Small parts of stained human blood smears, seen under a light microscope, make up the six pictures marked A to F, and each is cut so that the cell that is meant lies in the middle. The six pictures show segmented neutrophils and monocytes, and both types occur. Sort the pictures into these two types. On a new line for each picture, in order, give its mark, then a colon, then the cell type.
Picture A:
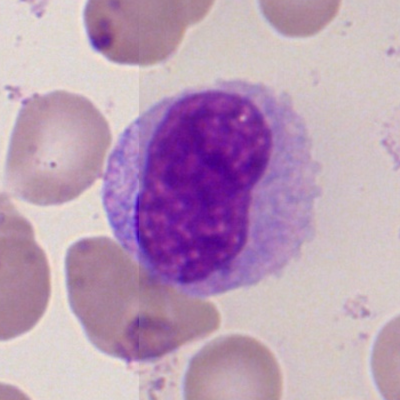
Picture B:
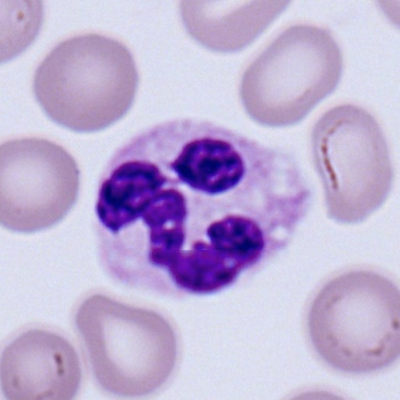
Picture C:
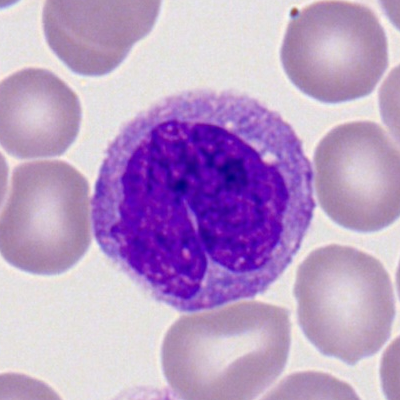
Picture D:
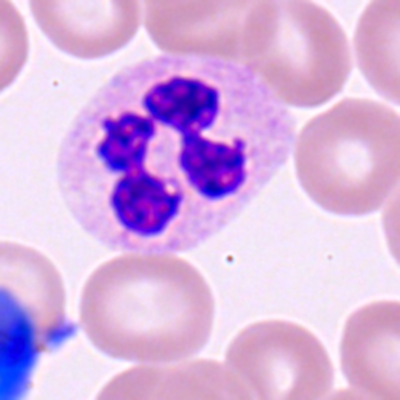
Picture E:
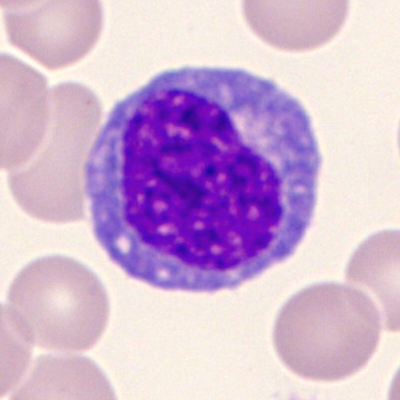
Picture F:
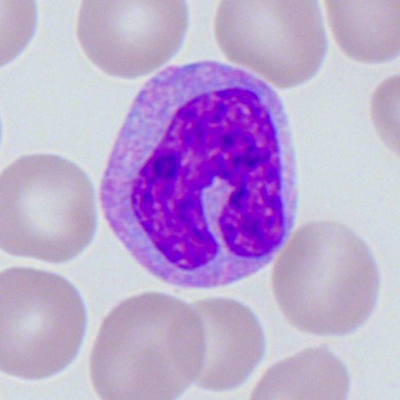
A: monocyte
B: segmented neutrophil
C: monocyte
D: segmented neutrophil
E: monocyte
F: monocyte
